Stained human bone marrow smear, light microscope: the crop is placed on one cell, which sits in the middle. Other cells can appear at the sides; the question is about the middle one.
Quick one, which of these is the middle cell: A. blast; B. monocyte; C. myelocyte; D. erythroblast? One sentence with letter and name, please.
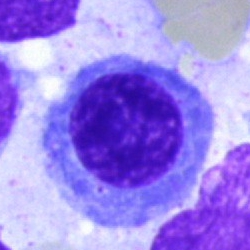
In the middle of the crop is an erythroblast; option D is therefore correct.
